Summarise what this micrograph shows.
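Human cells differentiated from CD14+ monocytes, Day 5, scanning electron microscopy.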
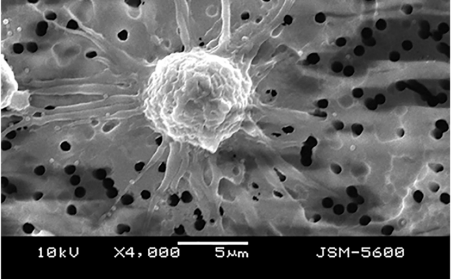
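A single dendritic cell is seen lying on a porous membrane. It has a rounded cell body with a ruffled, folded surface. Many long, thin processes radiate from the body in all directions and spread flat over the substrate.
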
